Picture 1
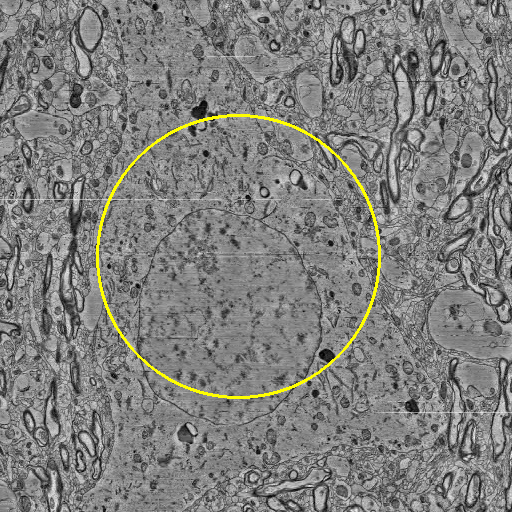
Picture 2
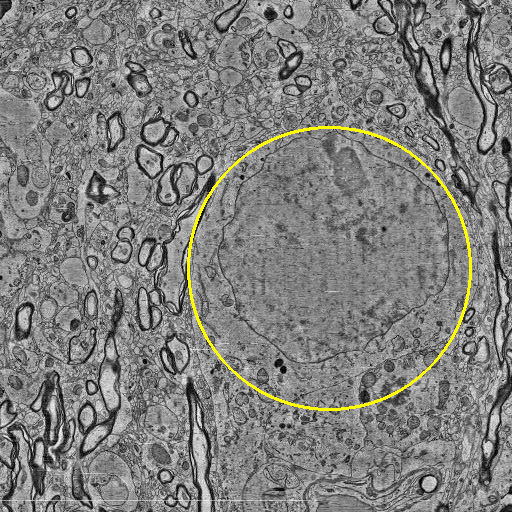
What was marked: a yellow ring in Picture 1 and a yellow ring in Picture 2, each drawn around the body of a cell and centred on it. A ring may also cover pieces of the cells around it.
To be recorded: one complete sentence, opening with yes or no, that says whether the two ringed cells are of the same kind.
Yes, the two ringed cells are of the same kind.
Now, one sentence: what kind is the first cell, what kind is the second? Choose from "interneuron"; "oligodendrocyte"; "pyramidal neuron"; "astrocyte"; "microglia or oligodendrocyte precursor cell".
Each of the ringed cells, first and second, is a pyramidal neuron.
